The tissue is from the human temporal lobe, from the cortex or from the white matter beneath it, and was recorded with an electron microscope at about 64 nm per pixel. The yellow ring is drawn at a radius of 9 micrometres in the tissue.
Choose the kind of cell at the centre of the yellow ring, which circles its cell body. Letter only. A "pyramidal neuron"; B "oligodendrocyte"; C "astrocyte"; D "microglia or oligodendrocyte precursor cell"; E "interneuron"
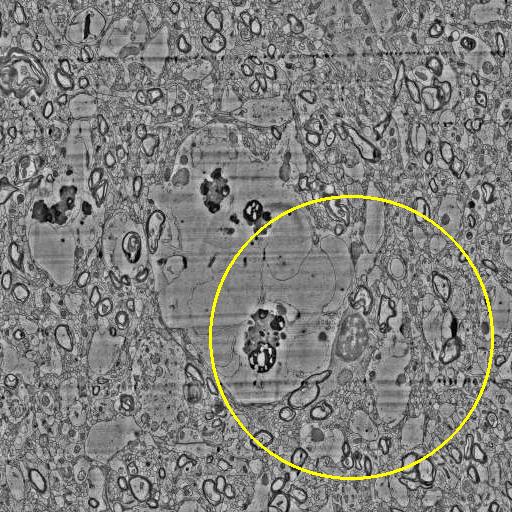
B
